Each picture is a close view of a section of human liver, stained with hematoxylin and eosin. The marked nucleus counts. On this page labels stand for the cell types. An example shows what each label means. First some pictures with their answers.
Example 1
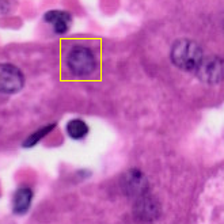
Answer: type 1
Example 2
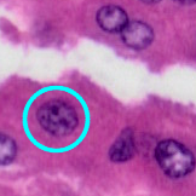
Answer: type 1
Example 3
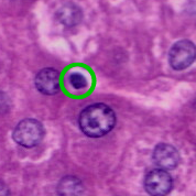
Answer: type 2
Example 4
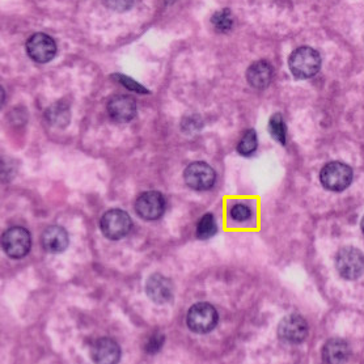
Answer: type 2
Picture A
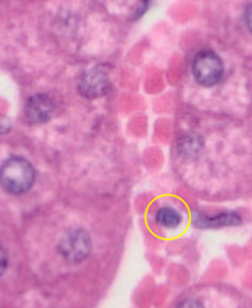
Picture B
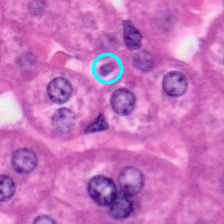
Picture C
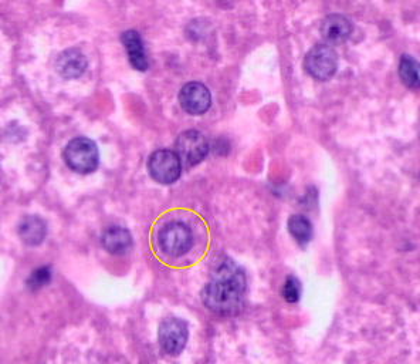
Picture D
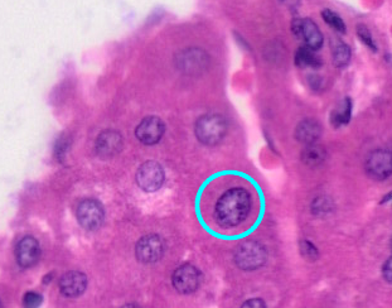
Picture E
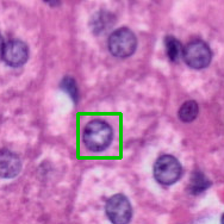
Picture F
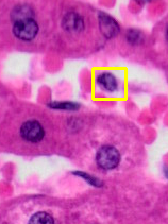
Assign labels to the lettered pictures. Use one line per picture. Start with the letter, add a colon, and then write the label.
A: type 2
B: type 2
C: type 1
D: type 1
E: type 1
F: type 2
